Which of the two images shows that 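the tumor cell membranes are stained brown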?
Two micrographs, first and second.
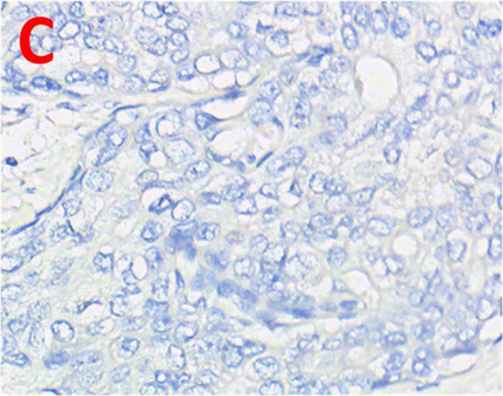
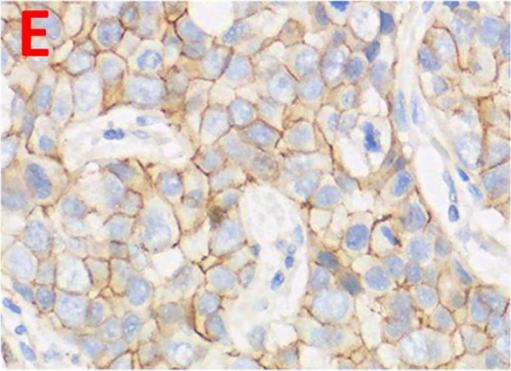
the second image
